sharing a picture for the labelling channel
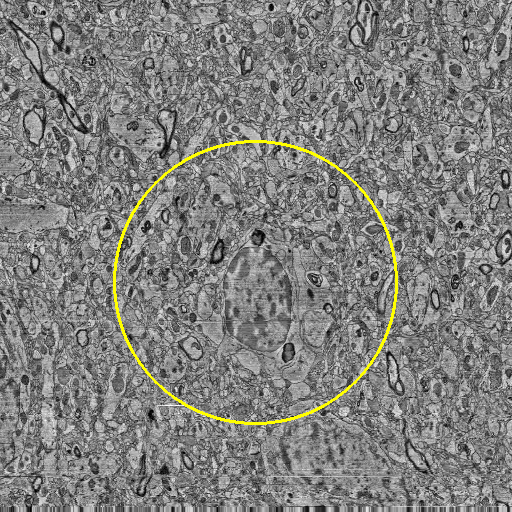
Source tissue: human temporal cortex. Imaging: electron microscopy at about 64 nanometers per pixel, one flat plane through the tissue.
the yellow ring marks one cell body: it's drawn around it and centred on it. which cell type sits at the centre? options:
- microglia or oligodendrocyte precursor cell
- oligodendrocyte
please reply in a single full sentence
In the picture, the cell at the ring's centre is a microglial cell or oligodendrocyte precursor cell, going by the list.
